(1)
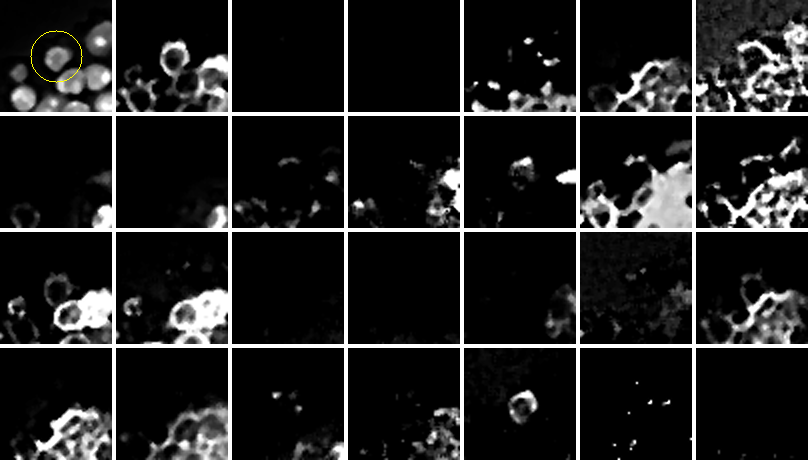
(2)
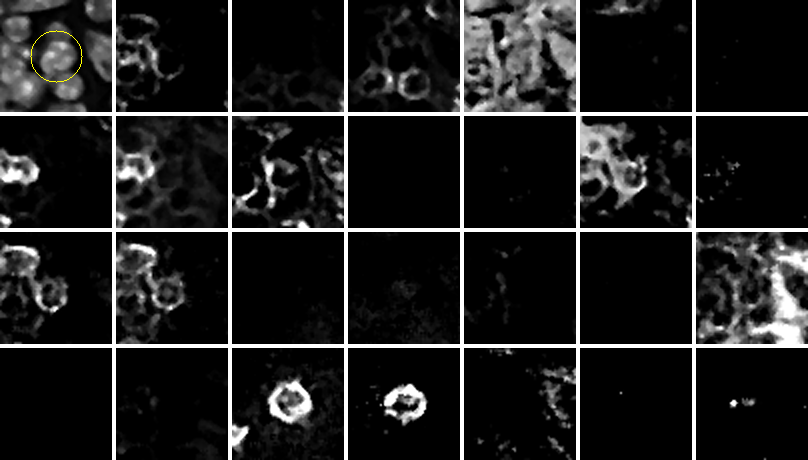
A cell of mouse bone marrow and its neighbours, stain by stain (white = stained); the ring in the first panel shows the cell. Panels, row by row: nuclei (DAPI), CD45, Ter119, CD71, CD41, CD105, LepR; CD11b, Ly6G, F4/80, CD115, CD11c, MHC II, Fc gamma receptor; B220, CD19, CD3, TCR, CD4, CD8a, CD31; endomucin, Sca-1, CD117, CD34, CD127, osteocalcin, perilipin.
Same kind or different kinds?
Different: the first is a common lymphoid progenitor, the second a megakaryocyte progenitor.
